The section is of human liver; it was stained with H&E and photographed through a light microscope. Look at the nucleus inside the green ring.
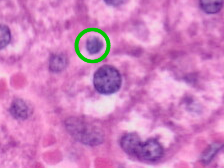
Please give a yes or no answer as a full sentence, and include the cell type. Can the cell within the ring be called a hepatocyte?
No, not quite: the cell within the ring is a lymphocyte rather than a hepatocyte.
